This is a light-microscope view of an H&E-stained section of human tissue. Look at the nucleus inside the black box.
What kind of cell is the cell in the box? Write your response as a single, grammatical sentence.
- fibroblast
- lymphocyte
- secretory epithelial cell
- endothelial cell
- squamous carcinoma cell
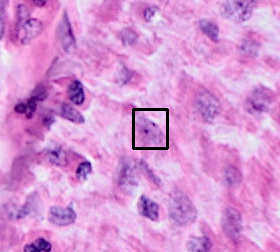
It is a fibroblast that the cell in the box represents.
